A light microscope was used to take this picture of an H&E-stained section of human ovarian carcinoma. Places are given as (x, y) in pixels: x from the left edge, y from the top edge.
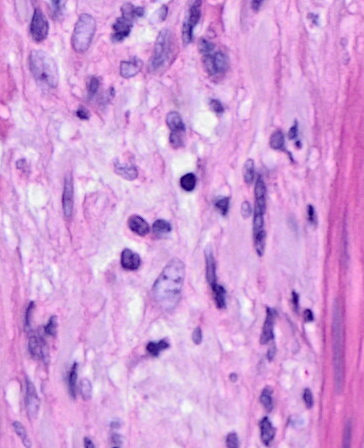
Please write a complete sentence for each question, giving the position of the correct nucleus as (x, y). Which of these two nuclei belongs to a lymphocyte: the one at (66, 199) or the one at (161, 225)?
Of these two nuclei, it is the one at (161, 225) that belongs to a lymphocyte.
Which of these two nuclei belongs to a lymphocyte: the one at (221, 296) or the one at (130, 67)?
Out of the two, it is the nucleus at (221, 296) that belongs to a lymphocyte.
